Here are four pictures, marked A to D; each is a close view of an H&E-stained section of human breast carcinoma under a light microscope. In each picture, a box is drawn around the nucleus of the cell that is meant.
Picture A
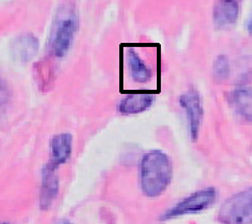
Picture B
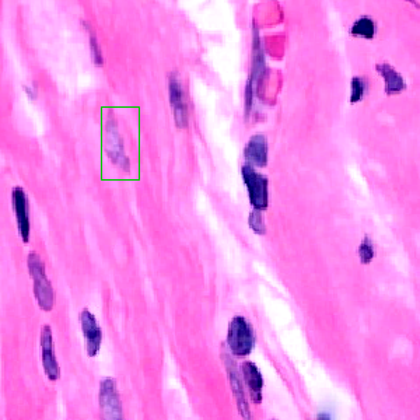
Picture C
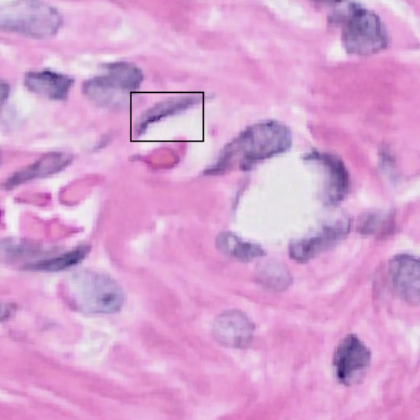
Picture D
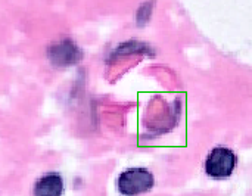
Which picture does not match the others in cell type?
B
